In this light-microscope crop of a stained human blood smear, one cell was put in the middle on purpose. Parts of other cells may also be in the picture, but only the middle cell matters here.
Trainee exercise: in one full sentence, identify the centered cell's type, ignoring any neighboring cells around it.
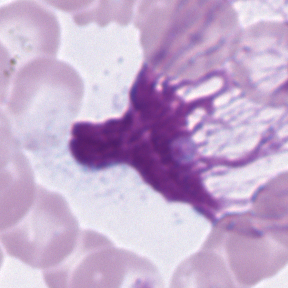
Positioned in the middle of the crop is a smudge cell.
